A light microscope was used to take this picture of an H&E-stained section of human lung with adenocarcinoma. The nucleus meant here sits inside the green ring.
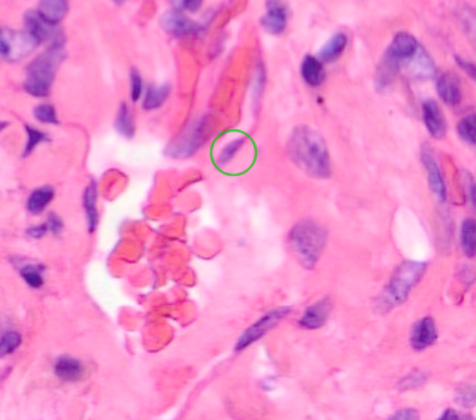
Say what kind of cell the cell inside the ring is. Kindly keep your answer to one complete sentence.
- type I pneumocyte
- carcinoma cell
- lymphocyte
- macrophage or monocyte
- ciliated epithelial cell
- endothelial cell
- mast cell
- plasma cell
The identity of the cell inside the ring is that of an endothelial cell.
